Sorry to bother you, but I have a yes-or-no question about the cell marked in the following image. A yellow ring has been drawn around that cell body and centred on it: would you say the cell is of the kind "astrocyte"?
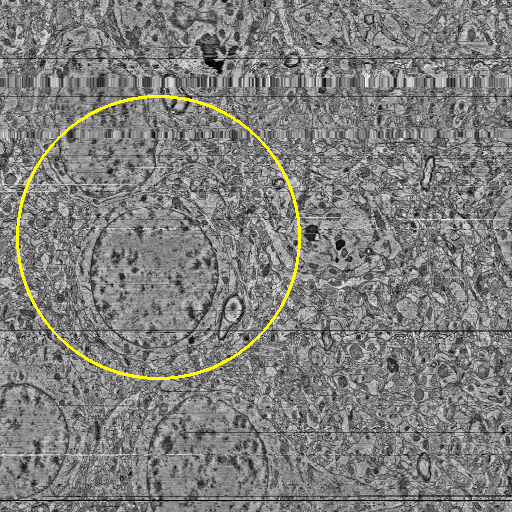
no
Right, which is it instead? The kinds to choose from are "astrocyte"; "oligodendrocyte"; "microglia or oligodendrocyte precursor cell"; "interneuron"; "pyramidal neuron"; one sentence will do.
The correct answer is that the cell is a pyramidal neuron.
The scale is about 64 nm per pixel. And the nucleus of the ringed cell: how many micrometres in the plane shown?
Roughly 10 by 8 micrometres in this plane, for the nucleus of the ringed cell.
